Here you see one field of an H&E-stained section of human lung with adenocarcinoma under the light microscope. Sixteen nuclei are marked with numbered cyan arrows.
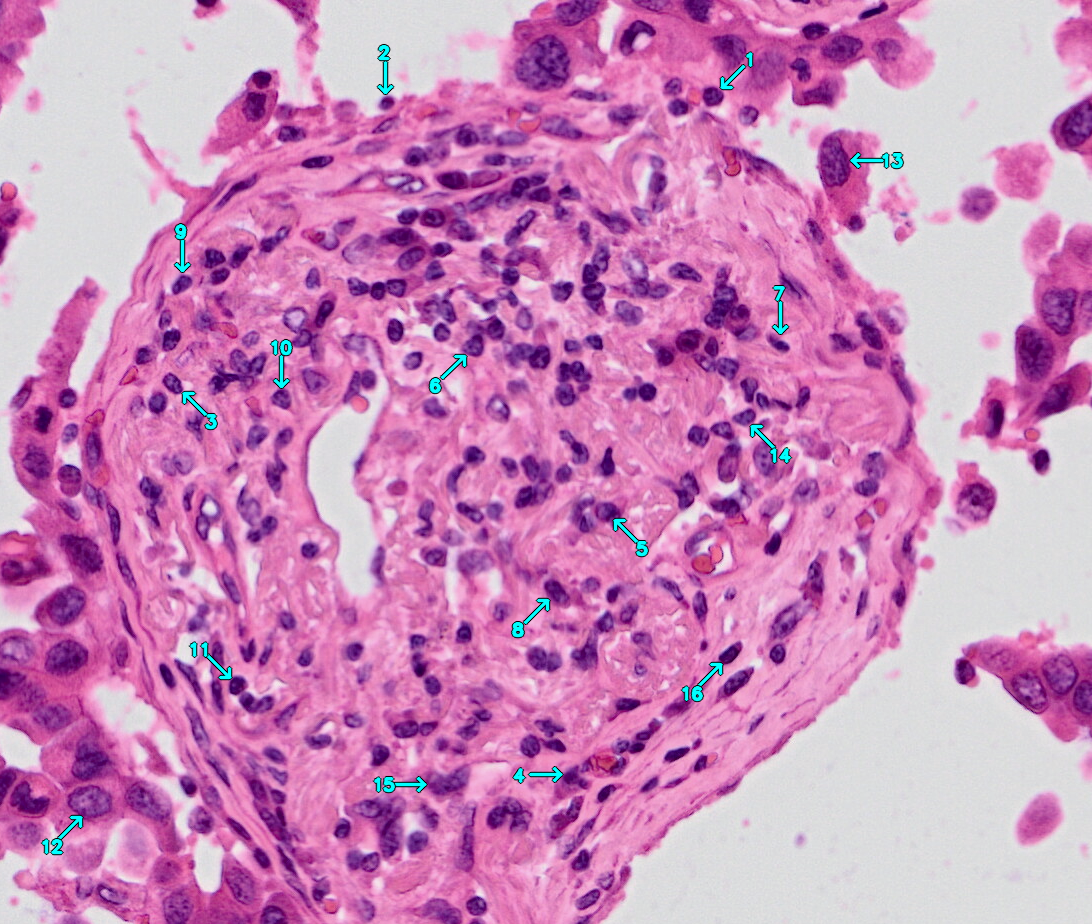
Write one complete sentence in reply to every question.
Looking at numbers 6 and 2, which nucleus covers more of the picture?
Of the two, number 6 is bigger and takes up about 1.5 times the area of number 2.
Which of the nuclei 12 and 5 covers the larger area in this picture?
Nucleus 12 covers more area, about 2 times as much as nucleus 5.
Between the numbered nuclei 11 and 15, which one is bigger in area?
The larger nucleus is 15, at roughly 1.5 times the area of 11.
